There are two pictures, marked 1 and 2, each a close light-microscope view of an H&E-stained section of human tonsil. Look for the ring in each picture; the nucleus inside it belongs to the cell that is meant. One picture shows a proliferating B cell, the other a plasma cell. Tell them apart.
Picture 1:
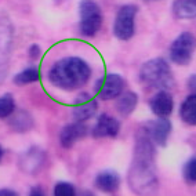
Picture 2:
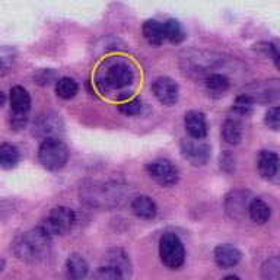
1: proliferating B cell
2: plasma cell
